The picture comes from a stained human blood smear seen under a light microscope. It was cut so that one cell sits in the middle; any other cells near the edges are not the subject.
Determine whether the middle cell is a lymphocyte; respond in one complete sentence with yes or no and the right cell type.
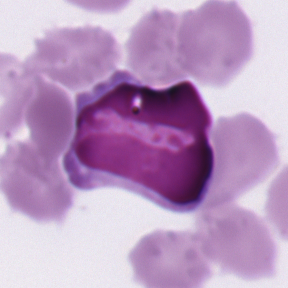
No, the cell in the middle is a blast; it is not a lymphocyte.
